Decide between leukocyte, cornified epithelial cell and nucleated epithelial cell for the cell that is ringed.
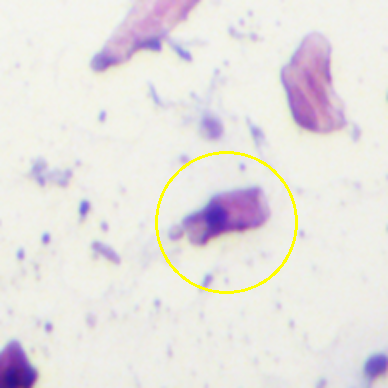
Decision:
I take the ringed cell for a nucleated epithelial cell.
